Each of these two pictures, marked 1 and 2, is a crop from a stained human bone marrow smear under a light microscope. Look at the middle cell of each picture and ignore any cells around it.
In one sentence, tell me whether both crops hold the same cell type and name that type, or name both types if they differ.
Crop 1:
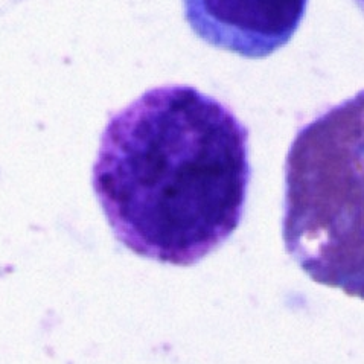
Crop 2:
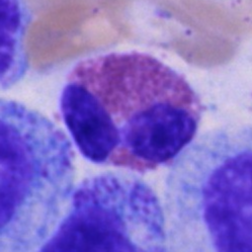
No, the cell that crop 1 shows is a basophil, and the one crop 2 shows is an eosinophil.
